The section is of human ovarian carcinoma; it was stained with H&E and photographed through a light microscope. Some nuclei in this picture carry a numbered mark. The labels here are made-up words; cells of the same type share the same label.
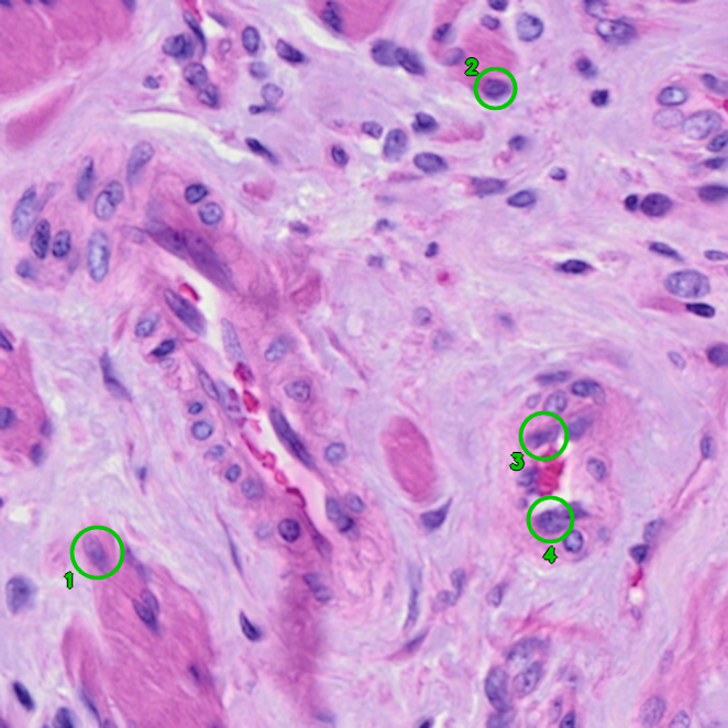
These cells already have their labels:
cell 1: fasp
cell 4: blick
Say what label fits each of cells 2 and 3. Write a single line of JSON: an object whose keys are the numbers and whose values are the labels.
{"2": "fasp", "3": "blick"}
